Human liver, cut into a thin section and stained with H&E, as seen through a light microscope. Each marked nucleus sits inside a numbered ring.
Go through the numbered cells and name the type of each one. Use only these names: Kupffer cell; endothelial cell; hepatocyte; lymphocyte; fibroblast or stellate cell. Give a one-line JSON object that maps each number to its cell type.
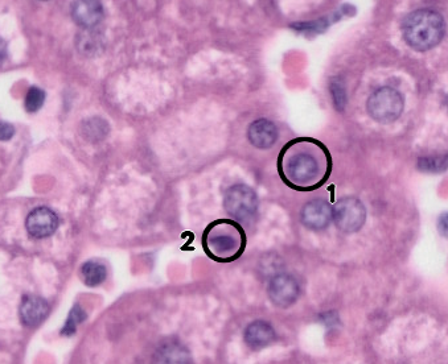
{"1": "hepatocyte", "2": "fibroblast or stellate cell"}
